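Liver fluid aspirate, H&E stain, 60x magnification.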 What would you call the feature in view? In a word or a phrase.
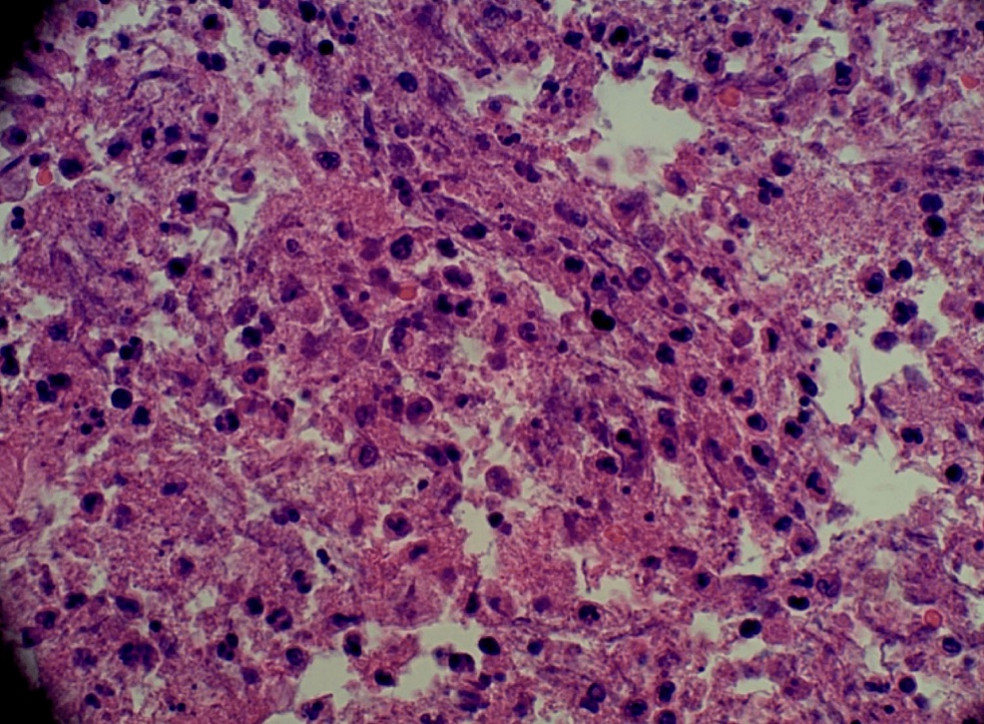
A: Debris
